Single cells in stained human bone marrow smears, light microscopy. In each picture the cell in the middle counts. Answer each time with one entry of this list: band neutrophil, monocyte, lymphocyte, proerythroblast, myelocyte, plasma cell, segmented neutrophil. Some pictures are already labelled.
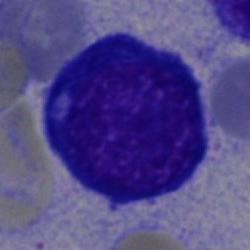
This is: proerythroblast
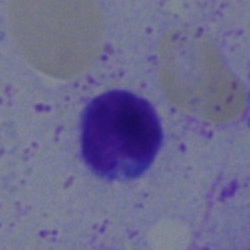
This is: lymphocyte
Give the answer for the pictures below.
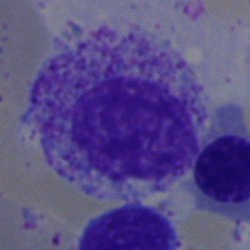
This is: myelocyte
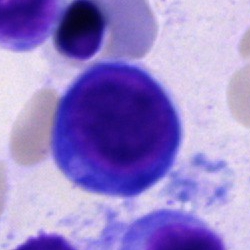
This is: proerythroblast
